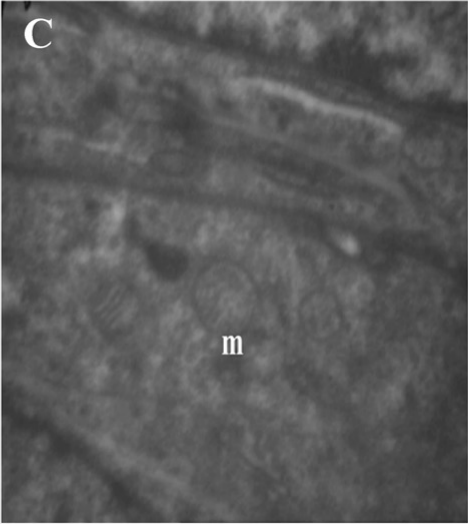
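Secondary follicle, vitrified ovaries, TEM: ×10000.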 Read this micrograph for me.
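This is a higher-magnification view of granulosa cell cytoplasm, centred on a group of mitochondria. The mitochondria are round, and their outer membranes are continuous. Internal cristae can be made out within them, and in one mitochondrion the cristae form closely spaced parallel lamellae. Long, parallel membrane profiles run across the upper part of the field. A small dark, dense body lies to the left of the mitochondria.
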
